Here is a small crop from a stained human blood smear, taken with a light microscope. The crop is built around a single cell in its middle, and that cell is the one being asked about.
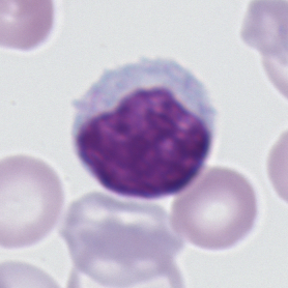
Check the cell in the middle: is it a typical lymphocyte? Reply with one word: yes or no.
yes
